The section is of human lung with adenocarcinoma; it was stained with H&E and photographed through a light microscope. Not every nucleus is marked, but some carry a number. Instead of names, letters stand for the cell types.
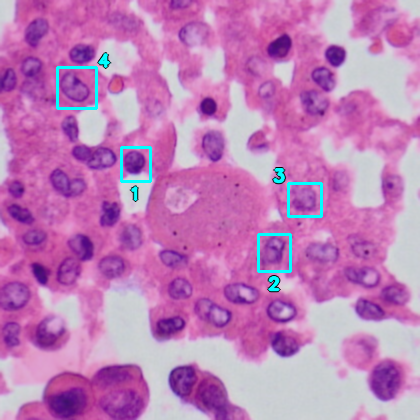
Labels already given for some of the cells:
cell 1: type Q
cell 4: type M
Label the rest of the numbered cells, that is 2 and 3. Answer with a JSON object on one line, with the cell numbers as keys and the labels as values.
{"2": "type M", "3": "type M"}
